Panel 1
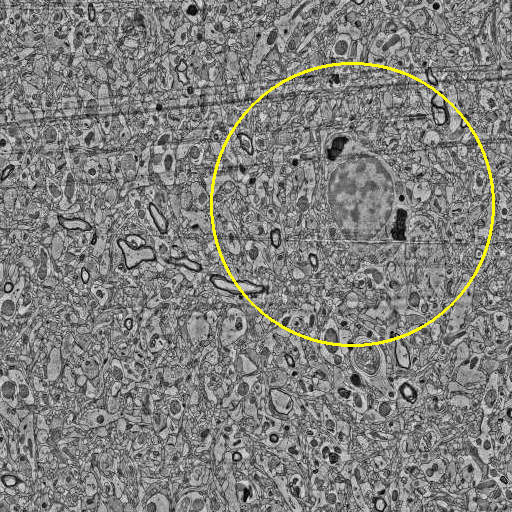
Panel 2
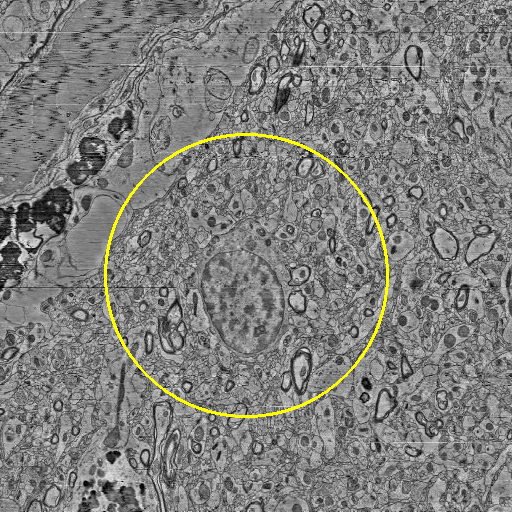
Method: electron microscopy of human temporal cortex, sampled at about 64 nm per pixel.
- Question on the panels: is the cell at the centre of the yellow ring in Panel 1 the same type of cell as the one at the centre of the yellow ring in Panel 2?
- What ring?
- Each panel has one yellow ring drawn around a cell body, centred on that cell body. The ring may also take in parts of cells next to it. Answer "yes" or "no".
yes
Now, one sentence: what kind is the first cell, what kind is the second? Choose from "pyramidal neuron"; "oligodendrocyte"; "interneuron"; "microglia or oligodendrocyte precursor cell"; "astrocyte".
Each one of the two ringed cells is an oligodendrocyte.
